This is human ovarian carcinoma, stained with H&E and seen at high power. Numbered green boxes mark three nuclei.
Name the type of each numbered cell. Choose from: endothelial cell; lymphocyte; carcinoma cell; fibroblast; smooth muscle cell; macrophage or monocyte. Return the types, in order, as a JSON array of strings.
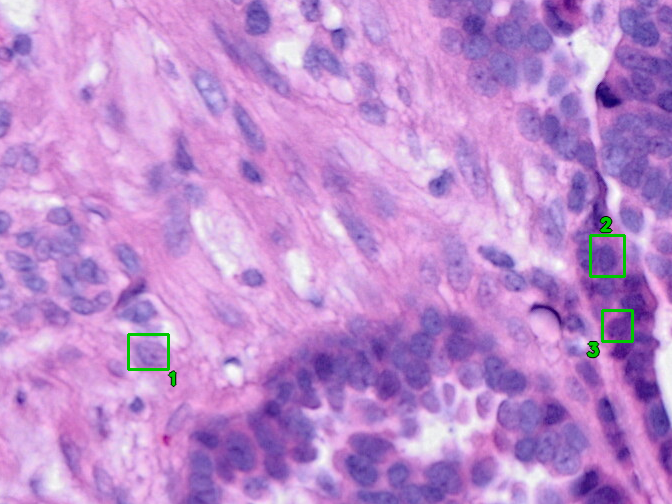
["fibroblast", "carcinoma cell", "carcinoma cell"]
